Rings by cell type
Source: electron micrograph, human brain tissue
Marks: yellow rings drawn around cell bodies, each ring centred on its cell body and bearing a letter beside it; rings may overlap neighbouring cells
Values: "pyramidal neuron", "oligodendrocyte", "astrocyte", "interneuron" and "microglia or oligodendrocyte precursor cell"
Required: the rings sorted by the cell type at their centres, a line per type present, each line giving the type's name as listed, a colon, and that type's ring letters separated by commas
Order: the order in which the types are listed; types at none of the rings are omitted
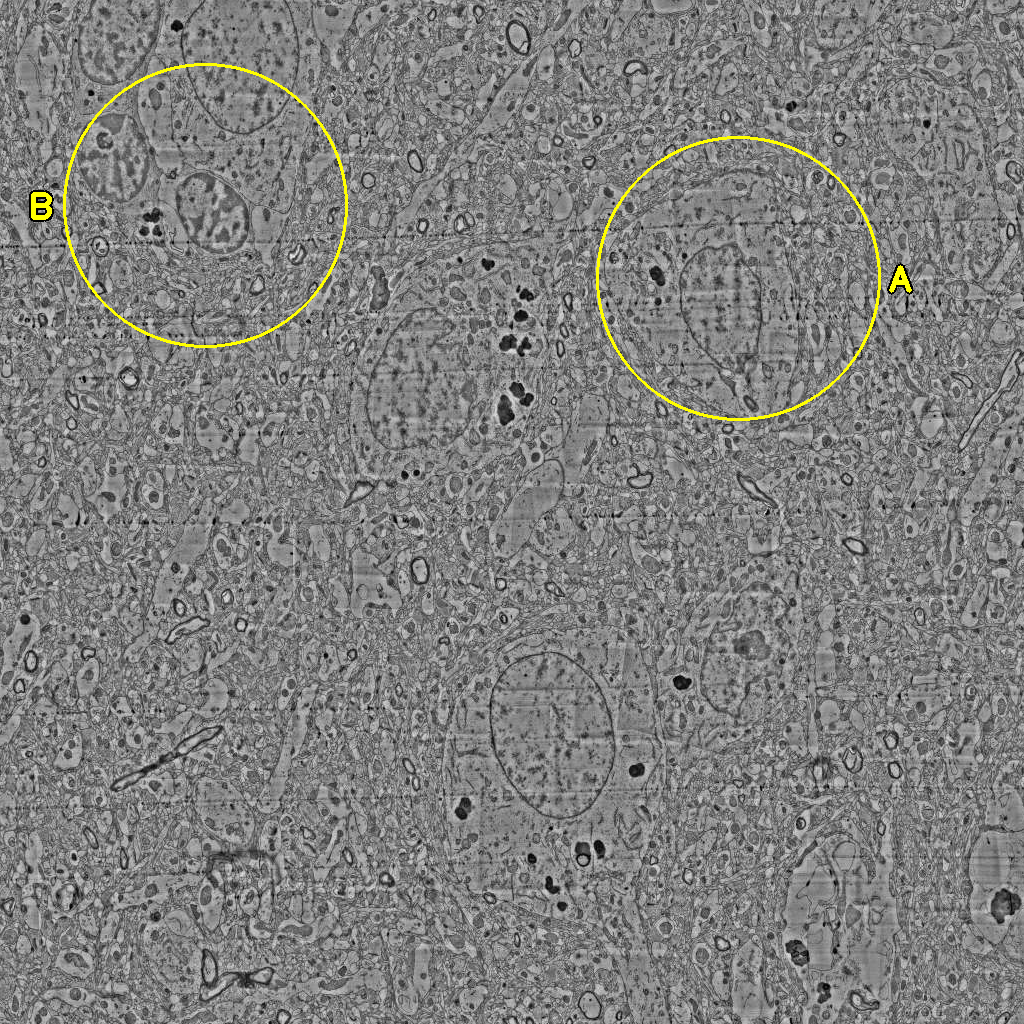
pyramidal neuron: A
microglia or oligodendrocyte precursor cell: B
